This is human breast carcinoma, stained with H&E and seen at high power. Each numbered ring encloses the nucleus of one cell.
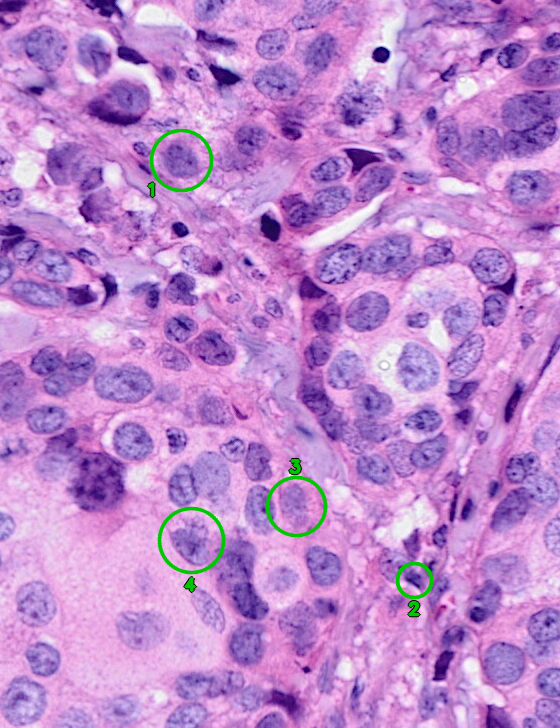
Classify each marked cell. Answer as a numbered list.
1. carcinoma cell
2. lymphocyte
3. carcinoma cell
4. carcinoma cell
